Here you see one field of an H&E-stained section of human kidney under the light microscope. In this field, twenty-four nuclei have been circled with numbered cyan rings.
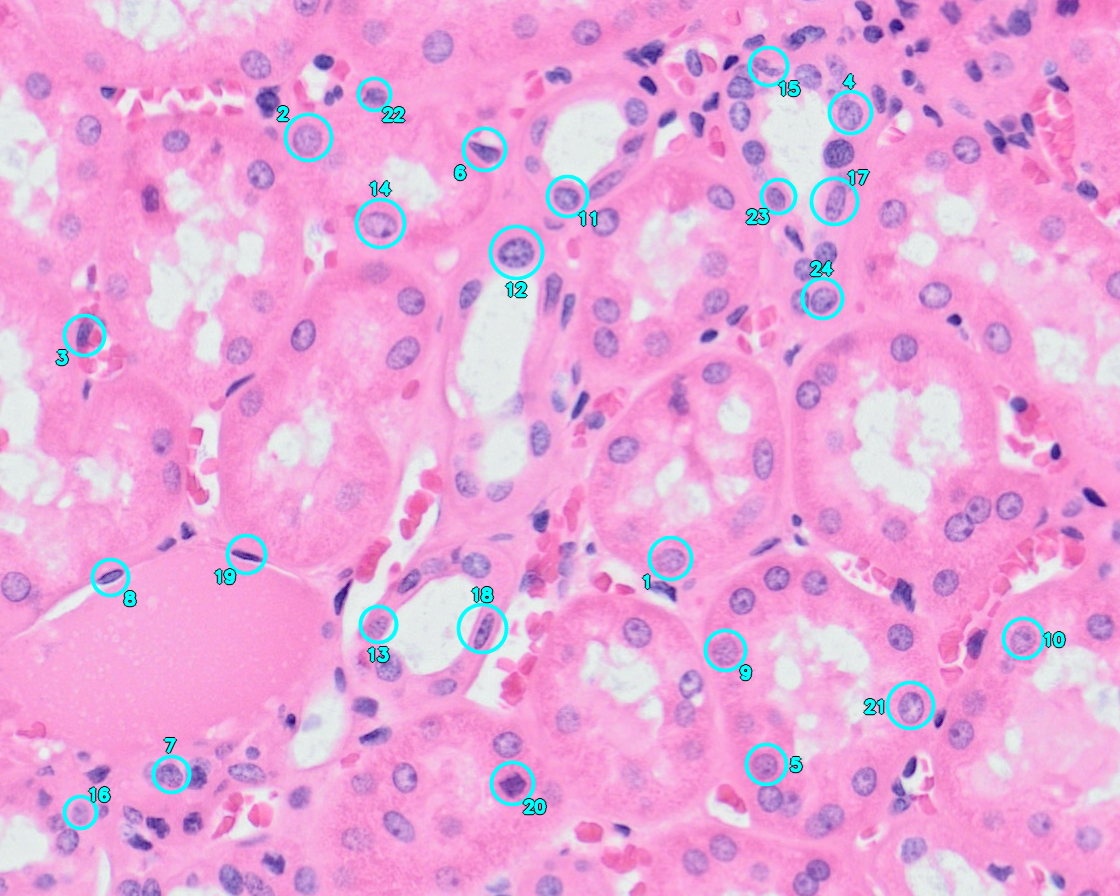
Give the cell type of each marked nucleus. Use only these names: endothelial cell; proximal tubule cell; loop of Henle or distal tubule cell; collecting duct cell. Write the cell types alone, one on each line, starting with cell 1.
proximal tubule cell
proximal tubule cell
endothelial cell
collecting duct cell
proximal tubule cell
endothelial cell
collecting duct cell
endothelial cell
proximal tubule cell
proximal tubule cell
collecting duct cell
collecting duct cell
collecting duct cell
proximal tubule cell
collecting duct cell
collecting duct cell
collecting duct cell
collecting duct cell
endothelial cell
proximal tubule cell
proximal tubule cell
endothelial cell
collecting duct cell
collecting duct cell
